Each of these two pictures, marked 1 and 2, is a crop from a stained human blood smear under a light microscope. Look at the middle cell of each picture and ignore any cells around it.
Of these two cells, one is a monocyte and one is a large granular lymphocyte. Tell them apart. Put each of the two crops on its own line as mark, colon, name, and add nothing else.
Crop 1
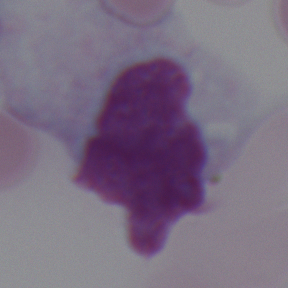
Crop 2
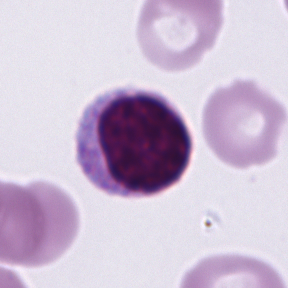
1: monocyte
2: large granular lymphocyte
